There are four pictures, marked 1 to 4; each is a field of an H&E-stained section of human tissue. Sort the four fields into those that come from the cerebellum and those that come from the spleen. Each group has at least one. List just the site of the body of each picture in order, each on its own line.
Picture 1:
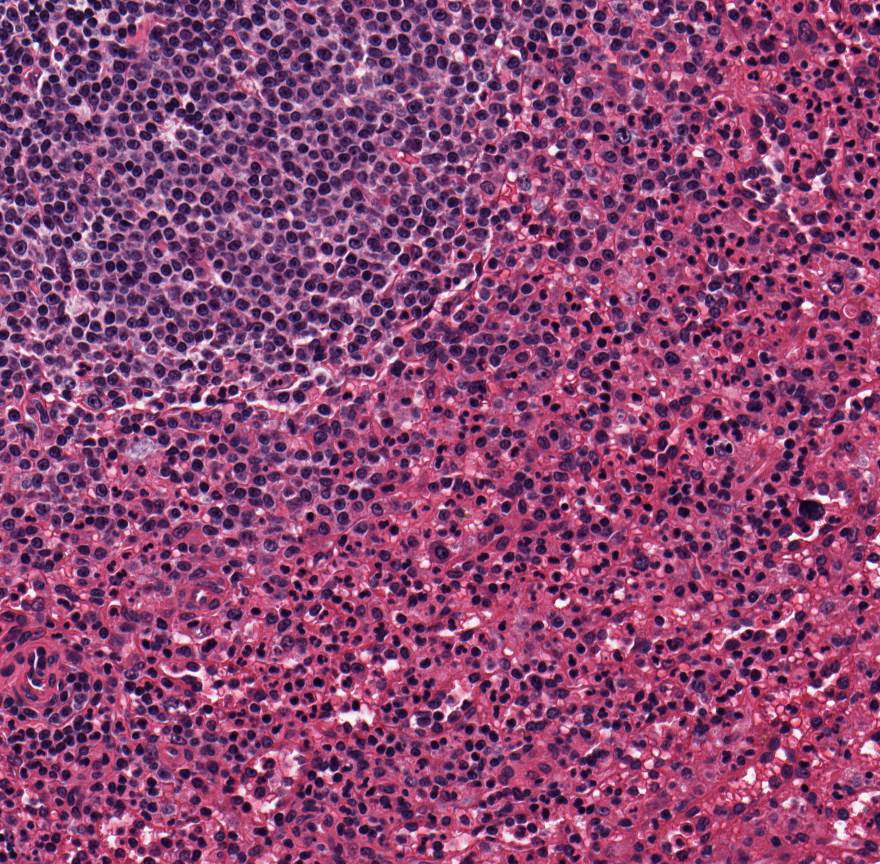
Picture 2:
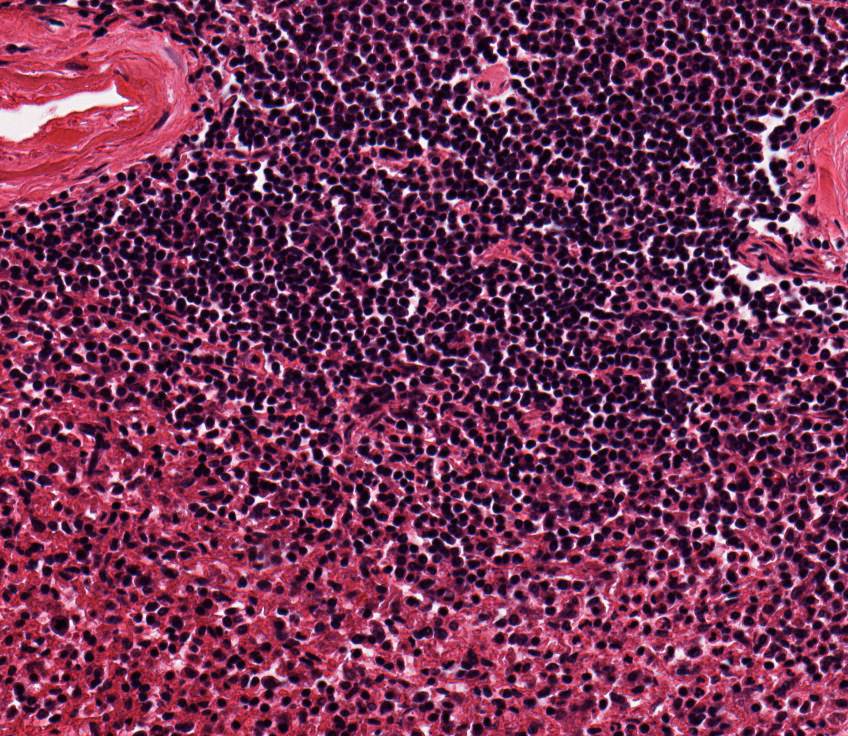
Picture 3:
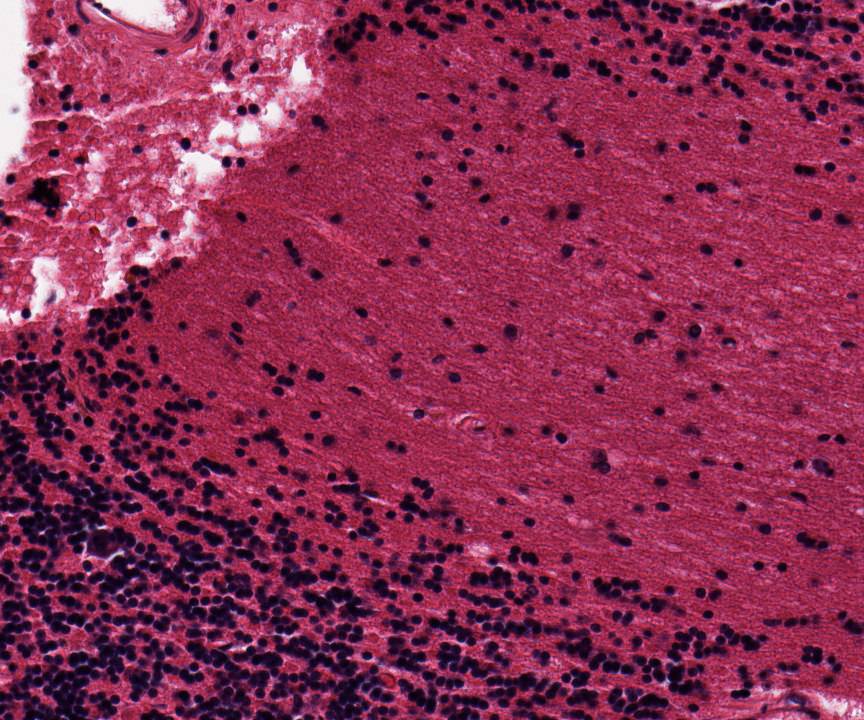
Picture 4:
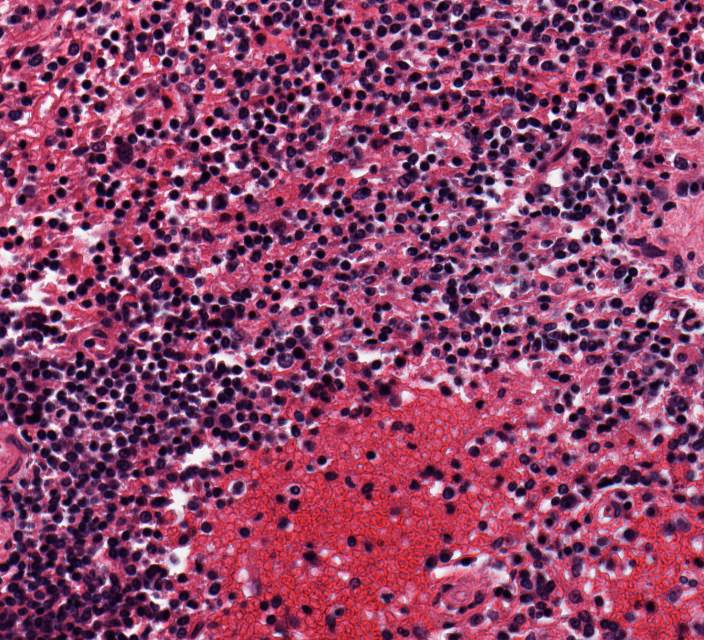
spleen
spleen
cerebellum
spleen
